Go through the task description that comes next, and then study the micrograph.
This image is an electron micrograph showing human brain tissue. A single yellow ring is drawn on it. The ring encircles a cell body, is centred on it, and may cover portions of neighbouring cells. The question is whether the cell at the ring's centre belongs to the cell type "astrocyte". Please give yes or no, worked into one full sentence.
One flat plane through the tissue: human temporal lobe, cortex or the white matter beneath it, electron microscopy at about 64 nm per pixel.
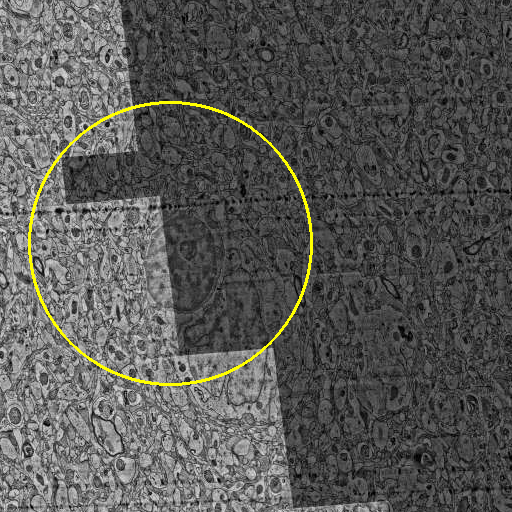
No, the cell that the ring is centred on in the micrograph is of another kind.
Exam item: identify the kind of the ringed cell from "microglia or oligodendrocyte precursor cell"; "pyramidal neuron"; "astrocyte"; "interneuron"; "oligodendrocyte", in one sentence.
What the ring is centred on is an oligodendrocyte.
